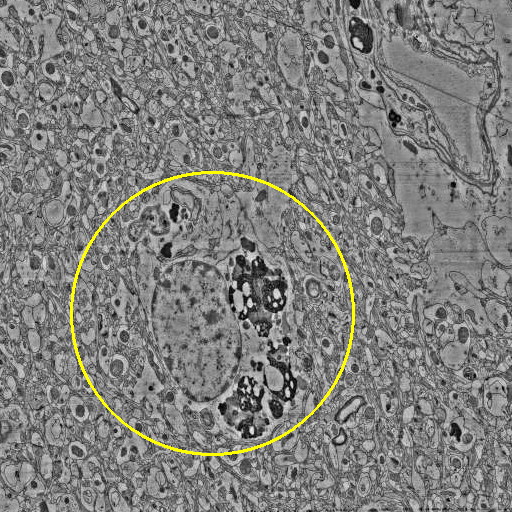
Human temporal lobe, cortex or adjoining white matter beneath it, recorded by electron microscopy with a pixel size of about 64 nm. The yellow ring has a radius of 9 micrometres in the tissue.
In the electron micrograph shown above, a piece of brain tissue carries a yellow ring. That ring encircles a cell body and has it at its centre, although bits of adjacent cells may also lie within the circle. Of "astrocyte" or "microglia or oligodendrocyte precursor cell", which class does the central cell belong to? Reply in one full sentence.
The cell body at the centre of the yellow ring belongs to an astrocyte.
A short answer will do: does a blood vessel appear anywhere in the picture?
Yes, a vessel appears in the picture.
